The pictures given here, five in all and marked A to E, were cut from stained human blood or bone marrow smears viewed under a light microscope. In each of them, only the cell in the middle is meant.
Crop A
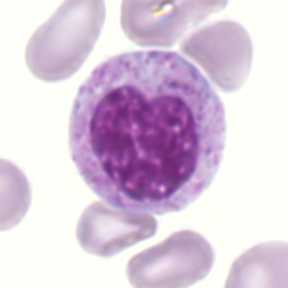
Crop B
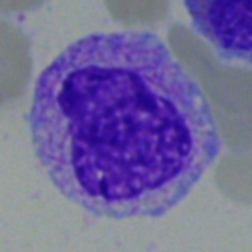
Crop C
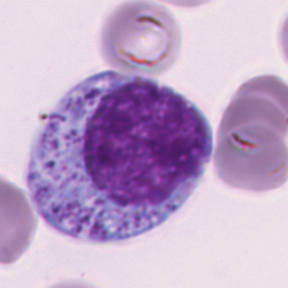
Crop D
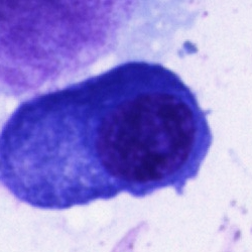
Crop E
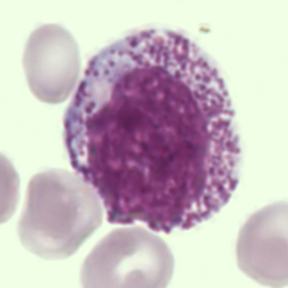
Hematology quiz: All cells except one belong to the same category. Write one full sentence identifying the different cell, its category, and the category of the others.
While crop D shows a plasma cell, the other crops all show myelocytes.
